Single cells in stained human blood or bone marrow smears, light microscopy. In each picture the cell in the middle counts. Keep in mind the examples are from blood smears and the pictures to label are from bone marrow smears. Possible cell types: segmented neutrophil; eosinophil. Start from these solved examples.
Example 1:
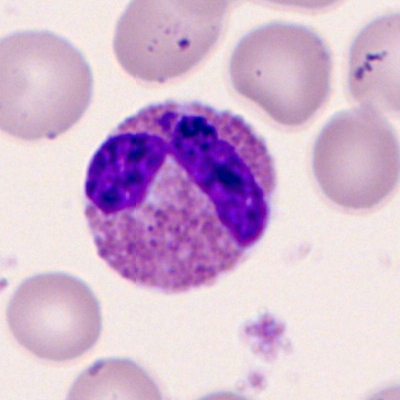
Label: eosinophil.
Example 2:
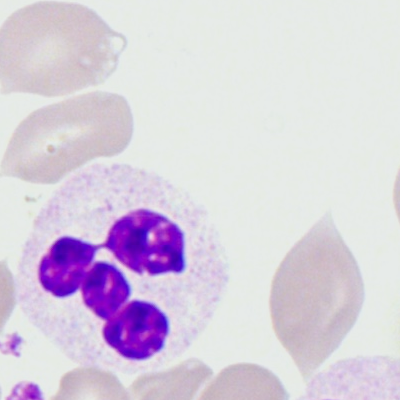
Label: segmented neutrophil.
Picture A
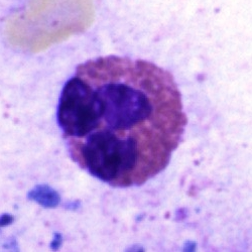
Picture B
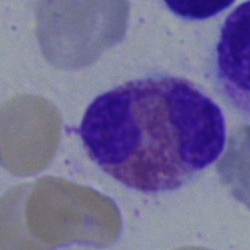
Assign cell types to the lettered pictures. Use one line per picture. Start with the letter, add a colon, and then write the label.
A: eosinophil.
B: eosinophil.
